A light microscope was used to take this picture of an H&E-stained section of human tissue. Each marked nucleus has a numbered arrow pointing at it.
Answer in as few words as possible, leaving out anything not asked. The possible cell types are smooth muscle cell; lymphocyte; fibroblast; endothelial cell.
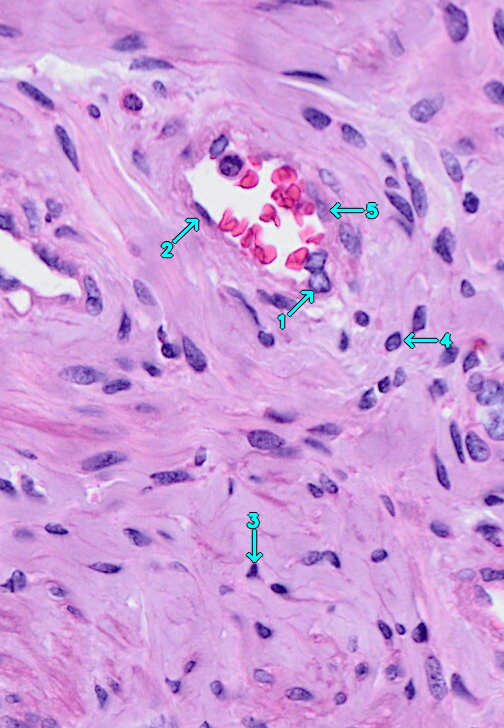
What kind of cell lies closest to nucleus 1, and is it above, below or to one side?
an endothelial cell, above nucleus 1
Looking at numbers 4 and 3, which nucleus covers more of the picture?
4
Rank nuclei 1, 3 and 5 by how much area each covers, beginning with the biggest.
1, 5, 3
